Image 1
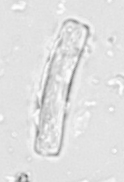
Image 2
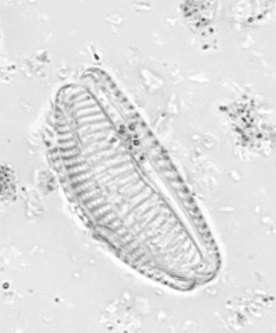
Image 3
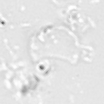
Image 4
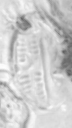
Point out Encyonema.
That is picture 2.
